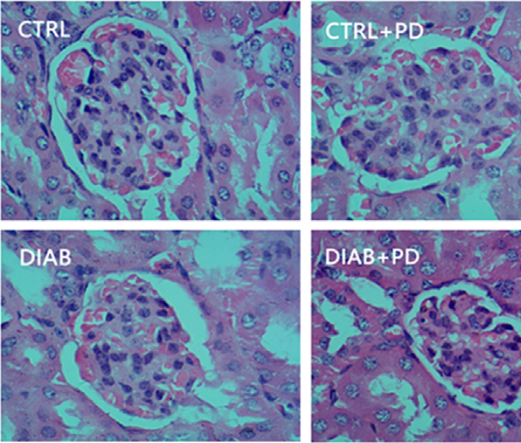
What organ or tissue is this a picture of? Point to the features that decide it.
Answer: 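The tuft is surrounded by cross-sectioned tubules lined by cells with pink cytoplasm and round nuclei.
Answer: Kidney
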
